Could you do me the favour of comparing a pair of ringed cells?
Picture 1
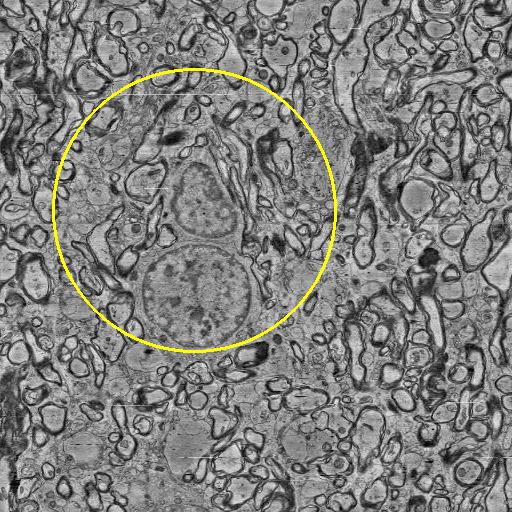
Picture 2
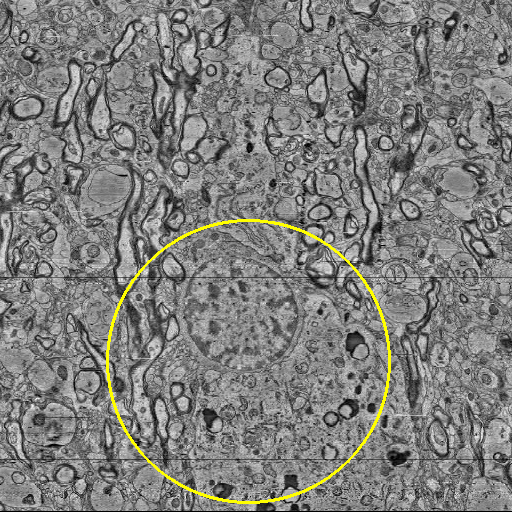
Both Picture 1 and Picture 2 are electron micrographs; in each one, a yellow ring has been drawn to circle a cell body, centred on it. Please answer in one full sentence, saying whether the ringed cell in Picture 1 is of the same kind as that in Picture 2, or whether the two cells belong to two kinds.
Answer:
The ringed cell in Picture 1 is of the same kind as that in Picture 2.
